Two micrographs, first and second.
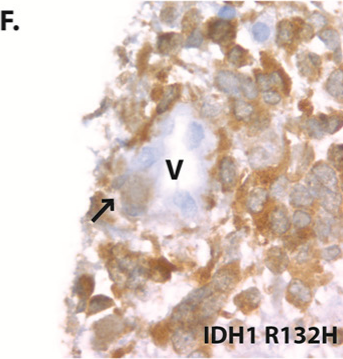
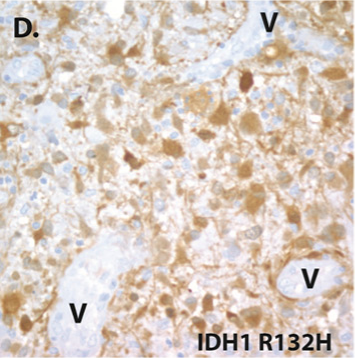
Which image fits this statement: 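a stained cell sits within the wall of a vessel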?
The first image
